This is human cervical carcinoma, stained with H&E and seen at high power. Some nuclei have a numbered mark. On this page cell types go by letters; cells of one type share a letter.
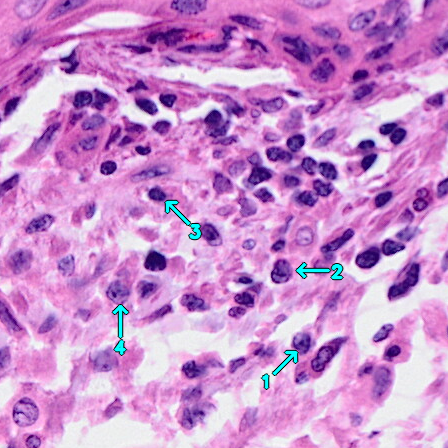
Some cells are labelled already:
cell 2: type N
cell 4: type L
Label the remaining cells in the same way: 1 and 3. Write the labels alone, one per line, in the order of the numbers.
type N
type N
